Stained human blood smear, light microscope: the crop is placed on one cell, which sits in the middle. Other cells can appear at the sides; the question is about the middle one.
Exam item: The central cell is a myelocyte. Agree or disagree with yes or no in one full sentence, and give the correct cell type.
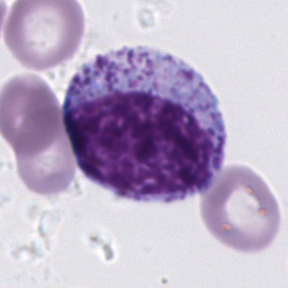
Yes, a myelocyte is the cell positioned in the middle of the field.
